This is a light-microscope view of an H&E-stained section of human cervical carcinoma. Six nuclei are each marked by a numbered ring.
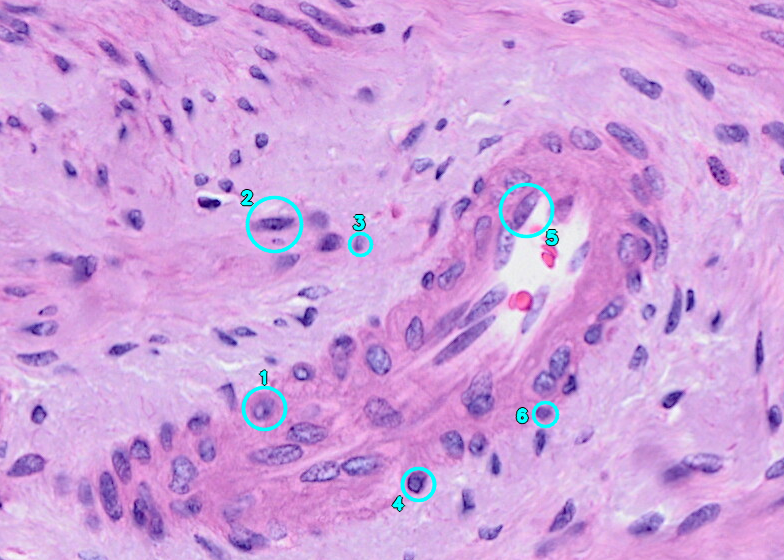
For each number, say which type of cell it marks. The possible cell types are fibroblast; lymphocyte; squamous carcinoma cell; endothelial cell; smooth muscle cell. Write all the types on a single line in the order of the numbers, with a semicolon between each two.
smooth muscle cell; fibroblast; fibroblast; smooth muscle cell; endothelial cell; smooth muscle cell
